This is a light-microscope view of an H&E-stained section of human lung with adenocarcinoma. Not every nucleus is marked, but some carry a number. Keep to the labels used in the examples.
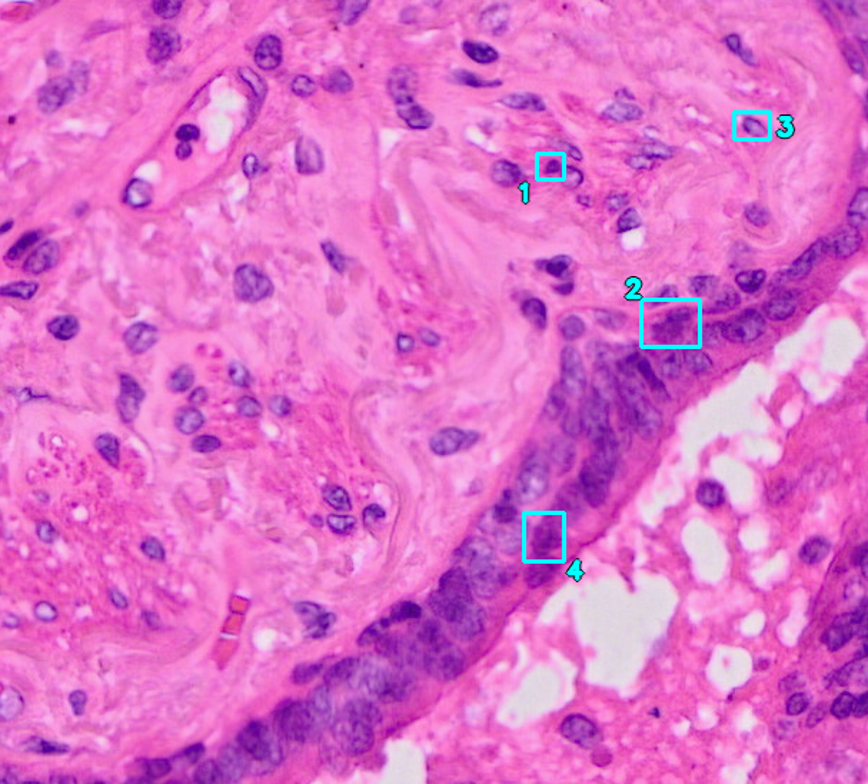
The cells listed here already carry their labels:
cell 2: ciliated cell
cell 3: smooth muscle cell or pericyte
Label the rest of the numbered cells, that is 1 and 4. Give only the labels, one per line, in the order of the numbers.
smooth muscle cell or pericyte
ciliated cell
